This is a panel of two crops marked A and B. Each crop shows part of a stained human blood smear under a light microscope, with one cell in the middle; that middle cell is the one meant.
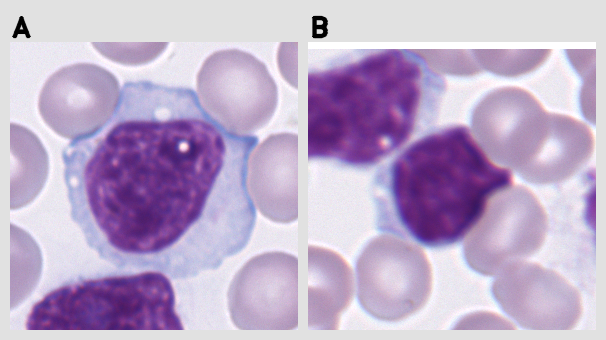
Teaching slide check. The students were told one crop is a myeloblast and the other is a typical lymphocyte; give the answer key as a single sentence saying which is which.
Crop A holds a myeloblast; crop B holds a typical lymphocyte.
